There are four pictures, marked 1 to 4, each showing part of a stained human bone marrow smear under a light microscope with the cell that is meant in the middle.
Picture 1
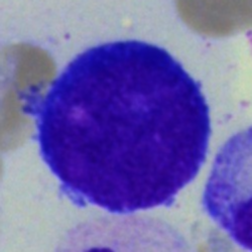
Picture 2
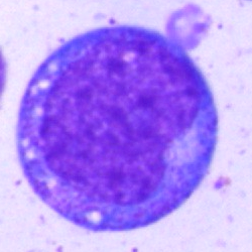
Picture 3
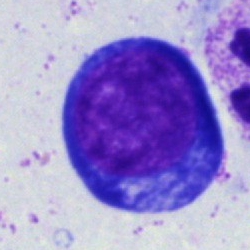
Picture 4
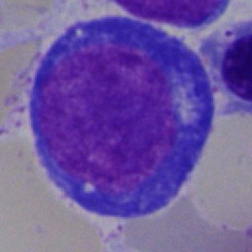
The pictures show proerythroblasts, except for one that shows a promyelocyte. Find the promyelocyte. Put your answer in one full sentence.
It is picture 2 that shows the promyelocyte.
